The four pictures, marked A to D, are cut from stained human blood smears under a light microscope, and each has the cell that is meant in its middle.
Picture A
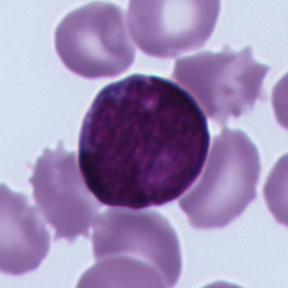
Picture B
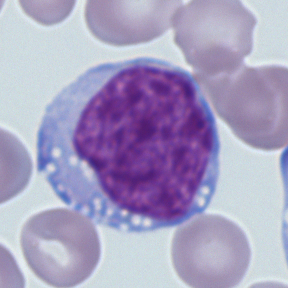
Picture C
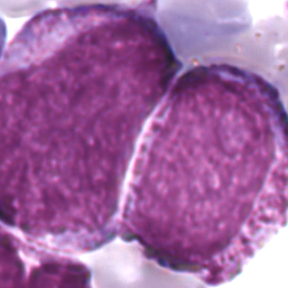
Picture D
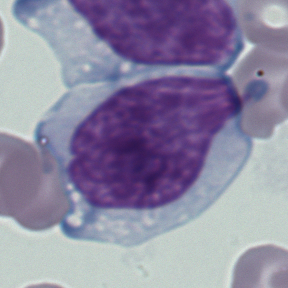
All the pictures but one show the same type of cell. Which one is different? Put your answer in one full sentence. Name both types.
Picture C differs, because its cell is a promyelocyte and the rest are myeloblasts.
